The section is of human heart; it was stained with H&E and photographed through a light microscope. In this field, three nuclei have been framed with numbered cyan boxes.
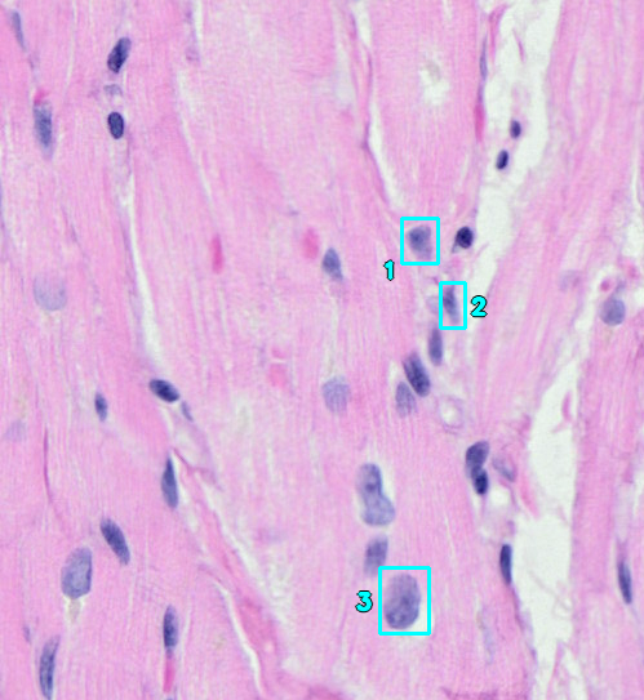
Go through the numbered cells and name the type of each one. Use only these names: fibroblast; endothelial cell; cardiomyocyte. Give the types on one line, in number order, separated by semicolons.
fibroblast; fibroblast; cardiomyocyte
